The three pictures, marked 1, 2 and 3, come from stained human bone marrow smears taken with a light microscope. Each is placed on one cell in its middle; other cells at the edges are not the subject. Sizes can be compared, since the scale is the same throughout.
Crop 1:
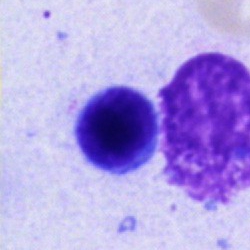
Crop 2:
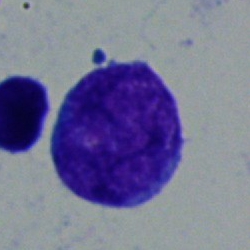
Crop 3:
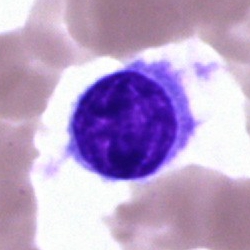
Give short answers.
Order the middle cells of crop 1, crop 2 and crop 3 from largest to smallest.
2, 3, 1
